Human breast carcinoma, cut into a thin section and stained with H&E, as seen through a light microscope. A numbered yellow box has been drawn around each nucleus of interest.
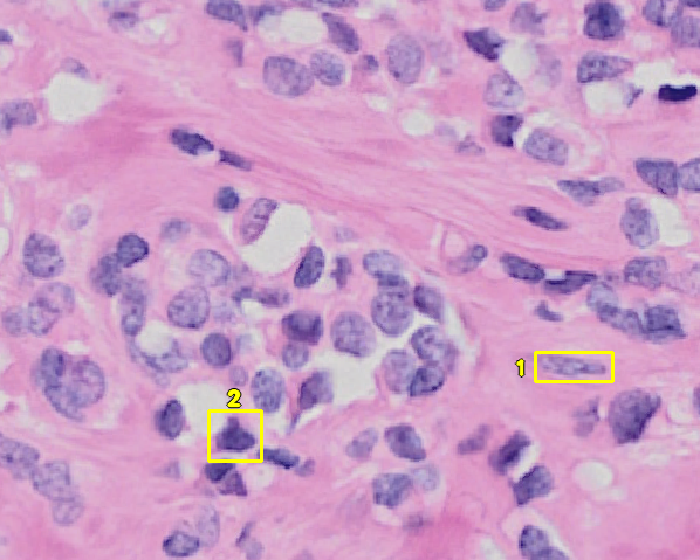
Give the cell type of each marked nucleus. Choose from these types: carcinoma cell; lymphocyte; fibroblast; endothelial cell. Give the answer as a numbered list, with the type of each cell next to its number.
1. endothelial cell
2. carcinoma cell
